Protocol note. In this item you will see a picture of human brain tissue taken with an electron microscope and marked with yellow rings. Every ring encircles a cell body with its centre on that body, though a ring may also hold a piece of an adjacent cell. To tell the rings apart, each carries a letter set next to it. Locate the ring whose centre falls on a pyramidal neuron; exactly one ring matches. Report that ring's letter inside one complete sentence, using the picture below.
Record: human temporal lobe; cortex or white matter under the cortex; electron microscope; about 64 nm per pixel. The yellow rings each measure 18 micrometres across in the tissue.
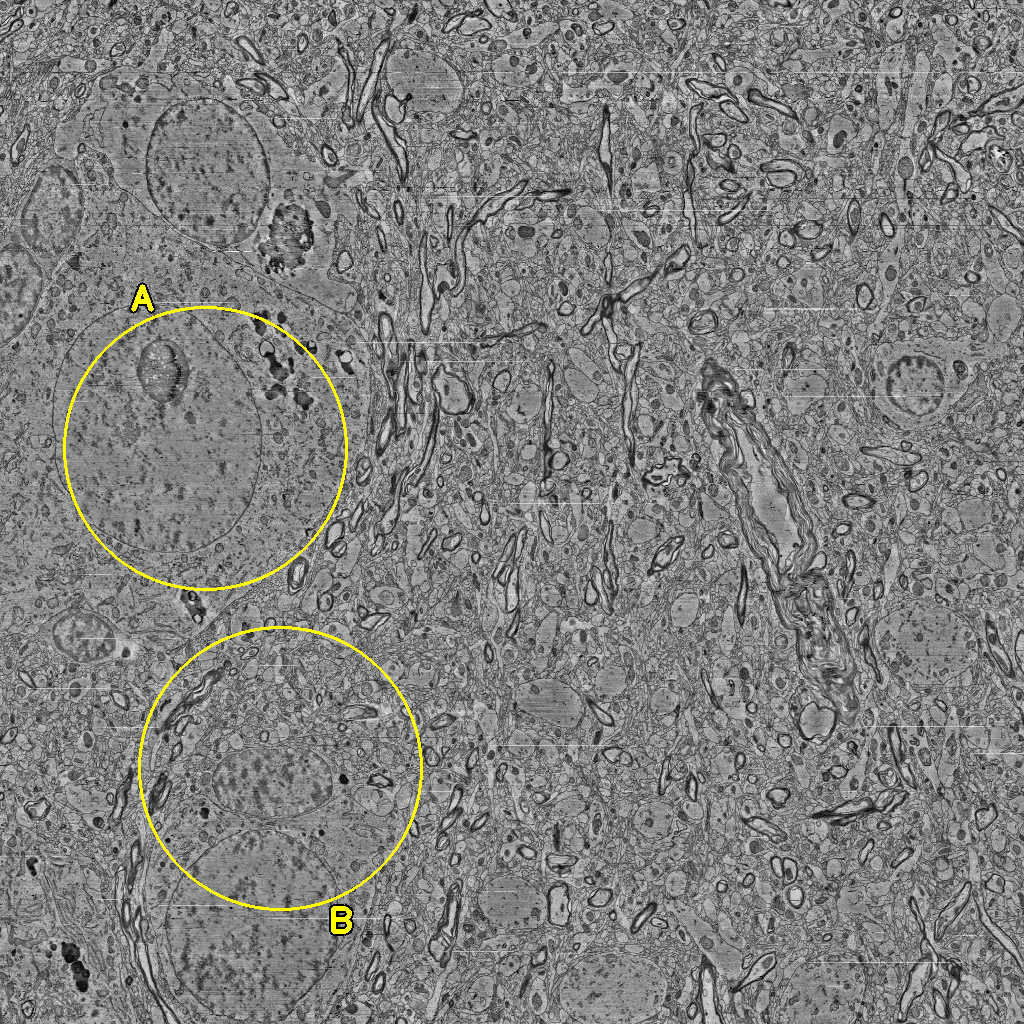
My answer is A, the ring whose centre falls on that kind of cell.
